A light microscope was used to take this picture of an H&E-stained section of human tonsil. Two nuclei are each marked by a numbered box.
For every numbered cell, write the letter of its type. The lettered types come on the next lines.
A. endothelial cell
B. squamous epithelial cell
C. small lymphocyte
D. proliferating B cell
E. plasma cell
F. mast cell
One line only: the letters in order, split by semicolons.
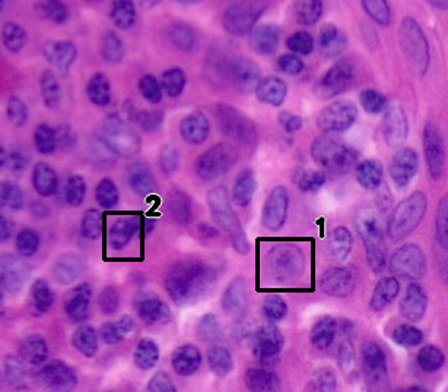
B; E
